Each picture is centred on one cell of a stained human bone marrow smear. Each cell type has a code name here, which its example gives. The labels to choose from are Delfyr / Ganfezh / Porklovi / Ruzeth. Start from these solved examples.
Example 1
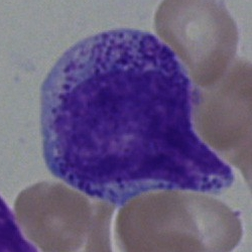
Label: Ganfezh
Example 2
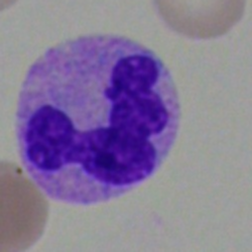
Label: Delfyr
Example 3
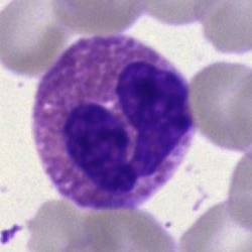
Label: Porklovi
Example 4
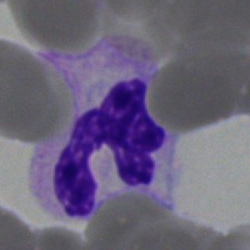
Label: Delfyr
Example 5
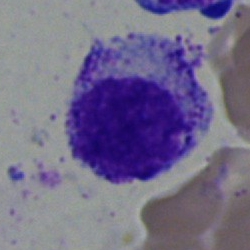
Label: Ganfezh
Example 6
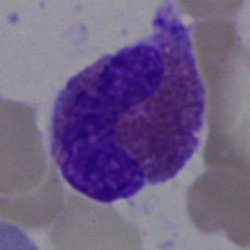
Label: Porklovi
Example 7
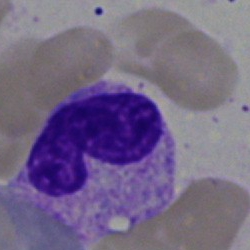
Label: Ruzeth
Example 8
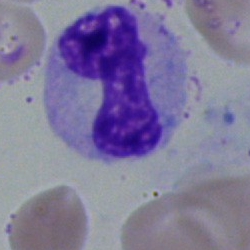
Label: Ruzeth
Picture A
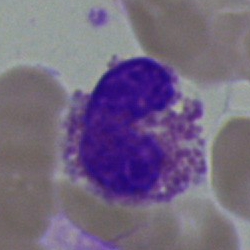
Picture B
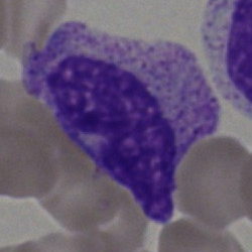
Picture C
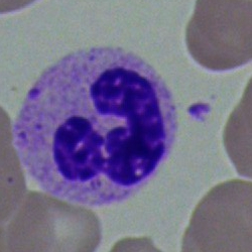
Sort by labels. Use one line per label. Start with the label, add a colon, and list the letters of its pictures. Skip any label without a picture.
Delfyr: C
Ganfezh: B
Porklovi: A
